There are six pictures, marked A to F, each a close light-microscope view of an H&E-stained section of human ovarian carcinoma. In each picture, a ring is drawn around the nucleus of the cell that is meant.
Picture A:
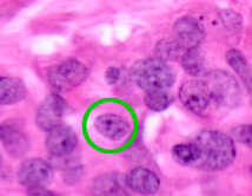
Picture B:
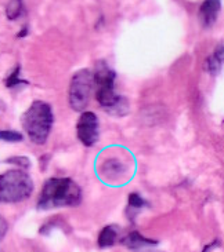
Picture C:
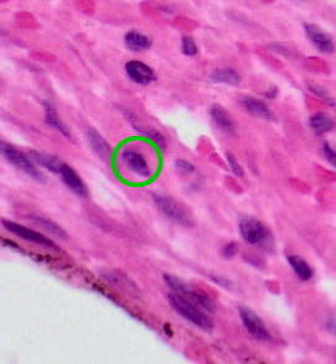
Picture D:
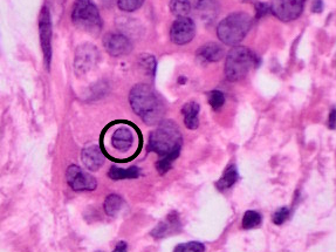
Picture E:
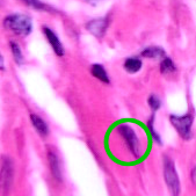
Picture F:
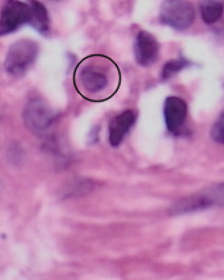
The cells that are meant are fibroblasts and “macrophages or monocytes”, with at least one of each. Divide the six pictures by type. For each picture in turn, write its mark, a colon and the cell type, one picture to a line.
A: macrophage or monocyte
B: macrophage or monocyte
C: fibroblast
D: macrophage or monocyte
E: fibroblast
F: macrophage or monocyte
